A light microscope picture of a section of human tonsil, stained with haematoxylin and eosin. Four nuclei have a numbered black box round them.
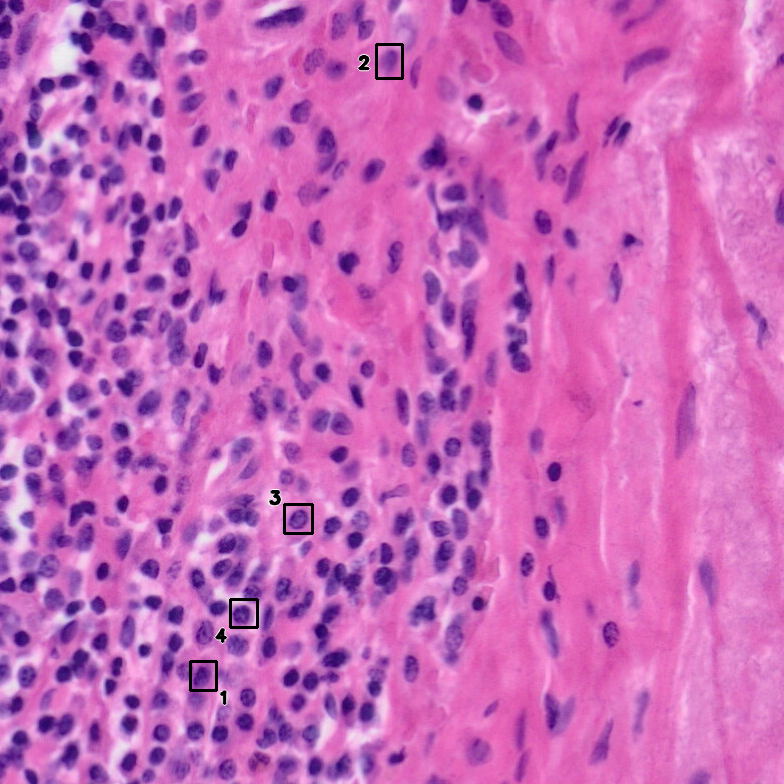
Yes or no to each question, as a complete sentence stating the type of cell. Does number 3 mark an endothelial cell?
No, cell 3 is not an endothelial cell; a plasma cell is correct.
